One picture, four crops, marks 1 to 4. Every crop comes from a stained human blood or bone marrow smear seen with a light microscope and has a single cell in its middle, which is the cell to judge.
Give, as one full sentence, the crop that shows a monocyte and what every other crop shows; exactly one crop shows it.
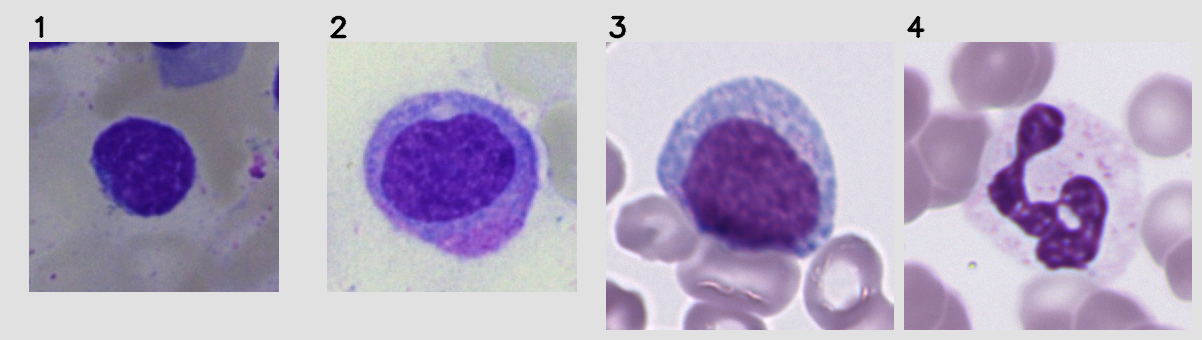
Crop 2 presents a monocyte, while crop 1 is a lymphocyte, crop 3 is a promyelocyte and crop 4 is a segmented neutrophil.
